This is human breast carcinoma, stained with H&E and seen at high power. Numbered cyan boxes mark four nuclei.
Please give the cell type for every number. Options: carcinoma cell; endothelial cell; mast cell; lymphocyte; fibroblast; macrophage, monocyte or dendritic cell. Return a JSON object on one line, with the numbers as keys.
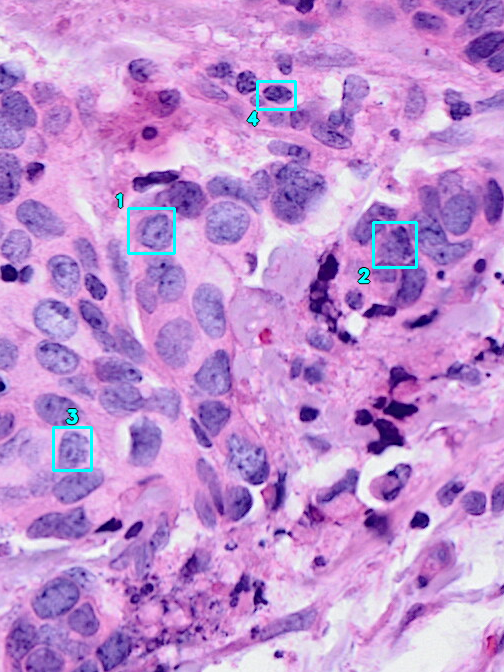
{"1": "carcinoma cell", "2": "carcinoma cell", "3": "carcinoma cell", "4": "lymphocyte"}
